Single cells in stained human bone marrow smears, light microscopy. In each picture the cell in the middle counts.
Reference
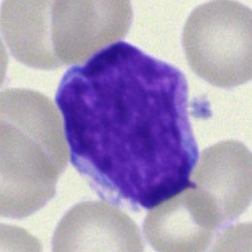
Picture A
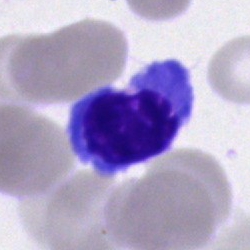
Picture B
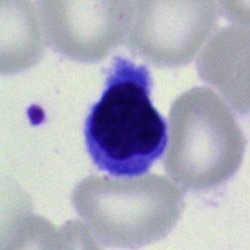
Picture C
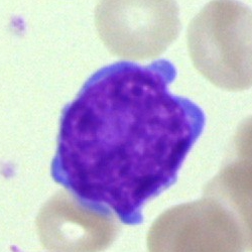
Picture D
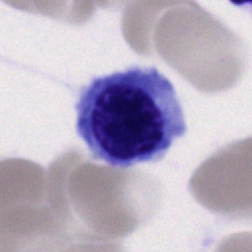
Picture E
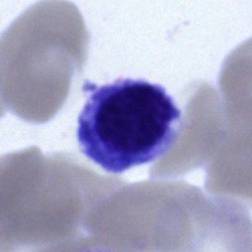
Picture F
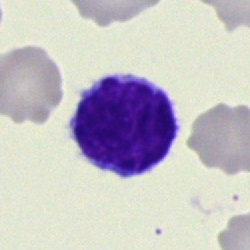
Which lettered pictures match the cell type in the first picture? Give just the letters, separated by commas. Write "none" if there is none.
C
